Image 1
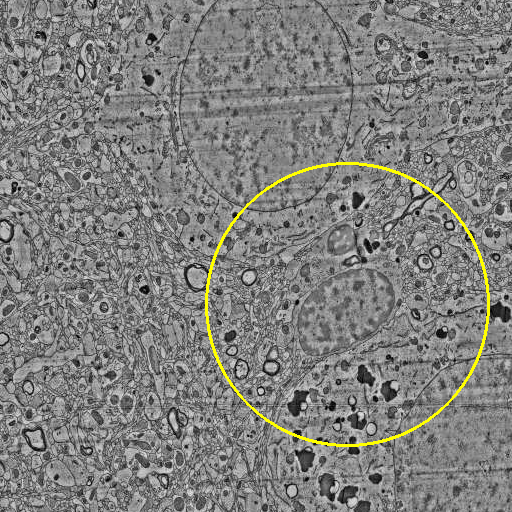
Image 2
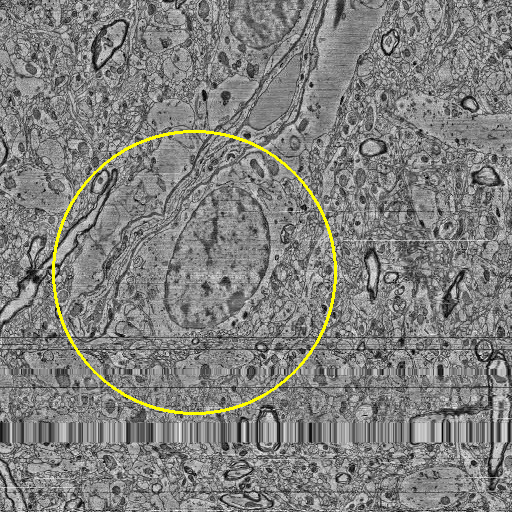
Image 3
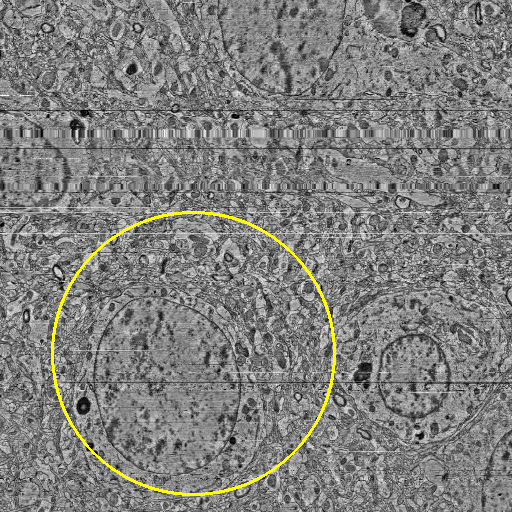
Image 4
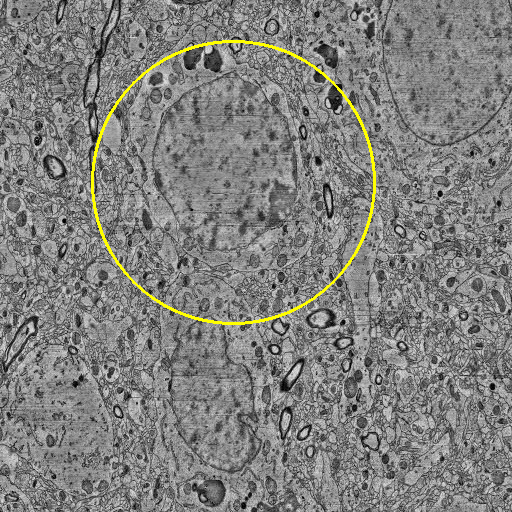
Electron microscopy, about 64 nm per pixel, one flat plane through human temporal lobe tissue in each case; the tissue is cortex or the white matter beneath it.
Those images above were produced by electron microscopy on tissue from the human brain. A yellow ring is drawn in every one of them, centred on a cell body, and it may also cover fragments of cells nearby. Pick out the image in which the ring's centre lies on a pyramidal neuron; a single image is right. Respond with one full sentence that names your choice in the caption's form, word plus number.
Image 3 is my choice: its ring is centred on the requested cell.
